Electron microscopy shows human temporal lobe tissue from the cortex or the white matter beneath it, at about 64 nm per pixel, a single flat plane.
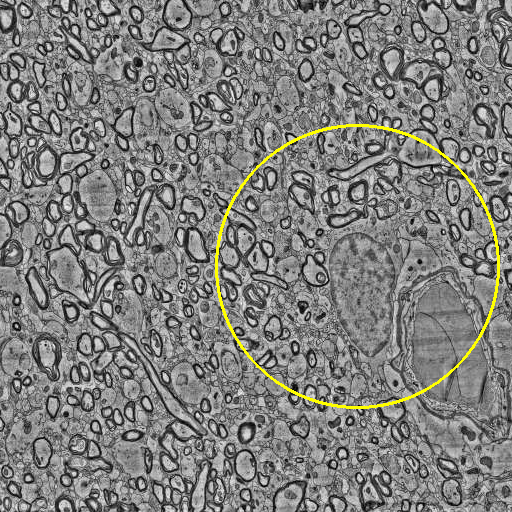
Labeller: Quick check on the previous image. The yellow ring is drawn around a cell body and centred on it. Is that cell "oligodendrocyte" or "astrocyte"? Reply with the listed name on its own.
oligodendrocyte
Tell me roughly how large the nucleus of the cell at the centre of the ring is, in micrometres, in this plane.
Approximately 8 by 4 micrometers in this plane.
